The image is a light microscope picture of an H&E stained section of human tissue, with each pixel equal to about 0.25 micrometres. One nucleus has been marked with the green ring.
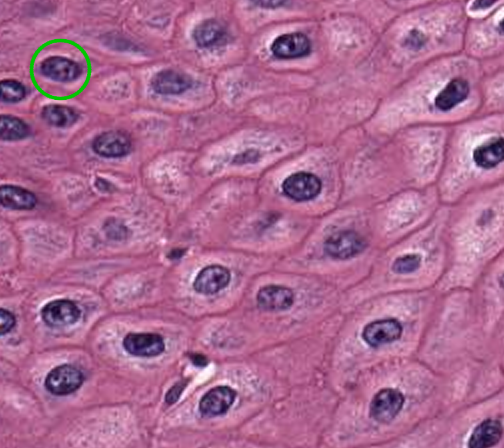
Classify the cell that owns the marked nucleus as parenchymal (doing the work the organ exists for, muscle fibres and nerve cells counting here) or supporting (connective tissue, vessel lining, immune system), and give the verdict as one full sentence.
The marked nucleus belongs to the parenchyma, being the nucleus of a squamous epithelial cell.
